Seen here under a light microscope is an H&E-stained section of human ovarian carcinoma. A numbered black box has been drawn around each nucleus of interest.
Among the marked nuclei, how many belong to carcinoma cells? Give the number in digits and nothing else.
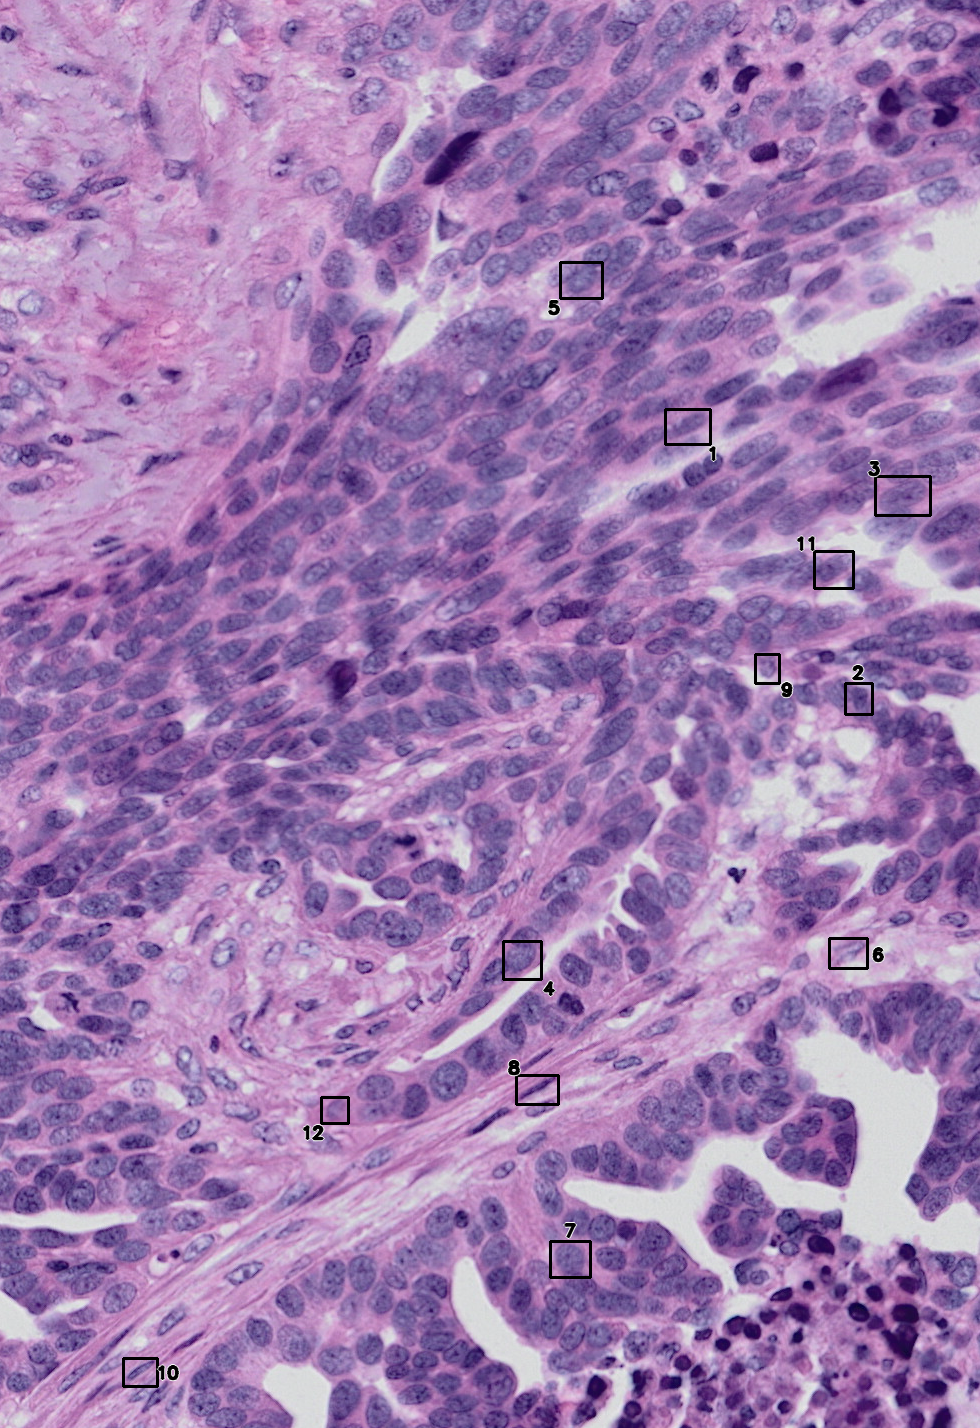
7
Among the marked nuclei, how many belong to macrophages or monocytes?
1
